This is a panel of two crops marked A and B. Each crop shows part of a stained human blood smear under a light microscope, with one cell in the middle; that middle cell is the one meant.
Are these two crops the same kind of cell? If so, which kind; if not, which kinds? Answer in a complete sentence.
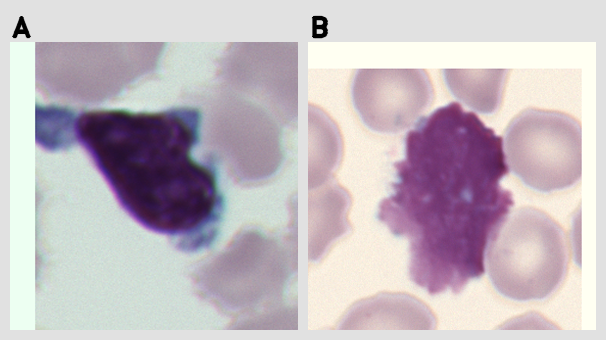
No, crop B shows a smudge cell, and crop A shows a typical lymphocyte.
